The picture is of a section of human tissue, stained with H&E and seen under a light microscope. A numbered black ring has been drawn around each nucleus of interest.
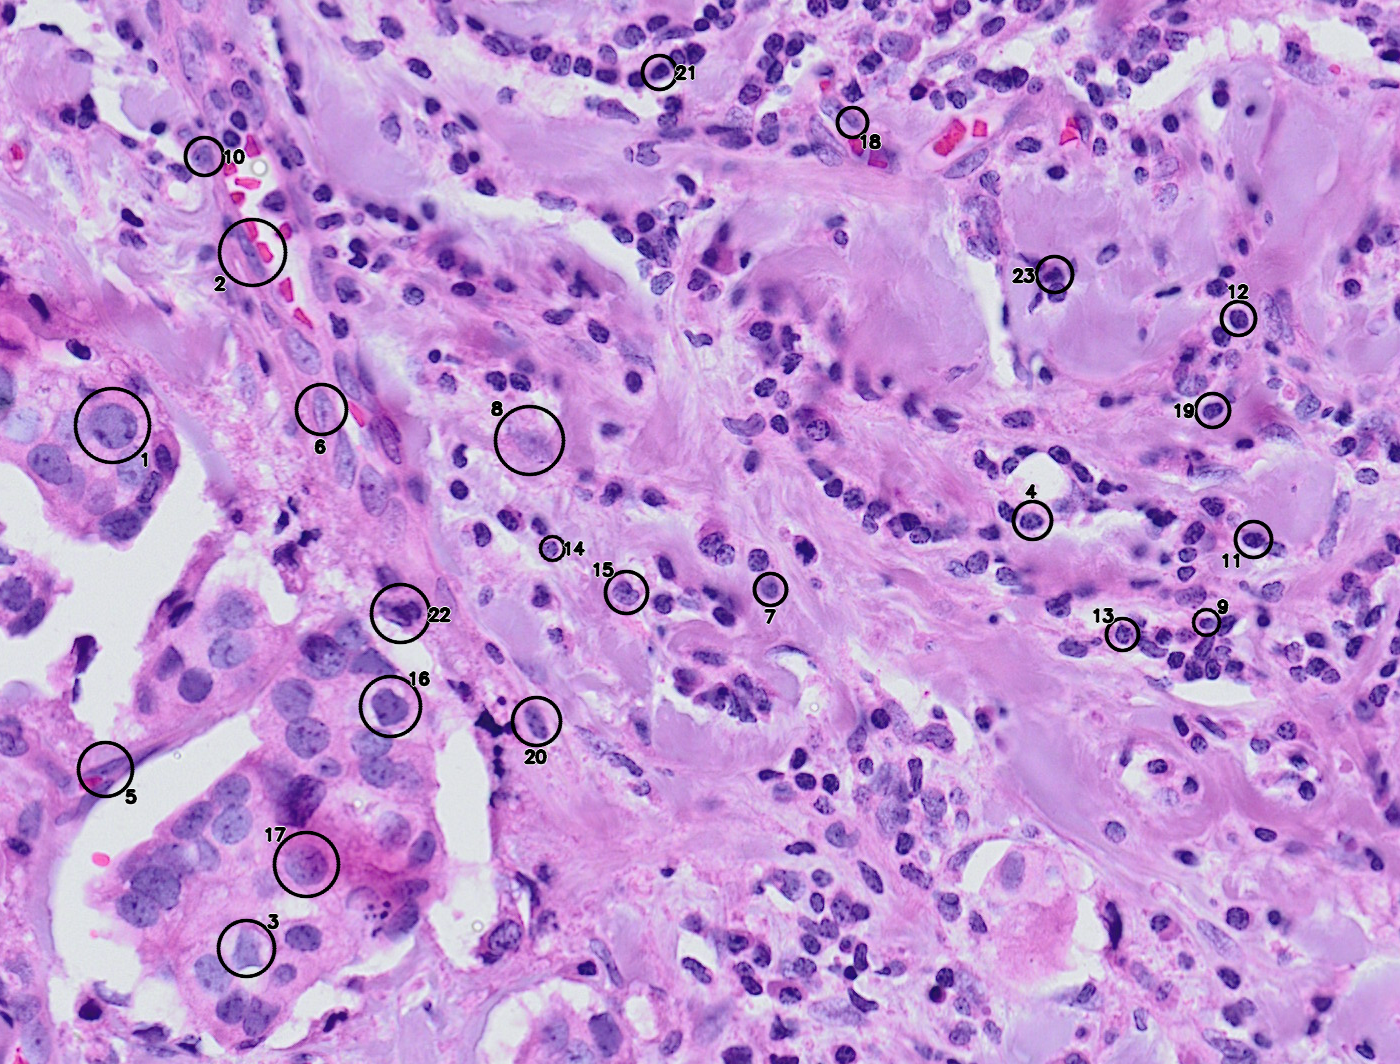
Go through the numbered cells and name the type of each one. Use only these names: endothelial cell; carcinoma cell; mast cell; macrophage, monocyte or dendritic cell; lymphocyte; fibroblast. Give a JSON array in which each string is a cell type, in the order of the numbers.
["carcinoma cell", "endothelial cell", "carcinoma cell", "lymphocyte", "endothelial cell", "endothelial cell", "mast cell", "fibroblast", "lymphocyte", "endothelial cell", "lymphocyte", "lymphocyte", "lymphocyte", "mast cell", "macrophage, monocyte or dendritic cell", "carcinoma cell", "carcinoma cell", "endothelial cell", "lymphocyte", "mast cell", "lymphocyte", "carcinoma cell", "lymphocyte"]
